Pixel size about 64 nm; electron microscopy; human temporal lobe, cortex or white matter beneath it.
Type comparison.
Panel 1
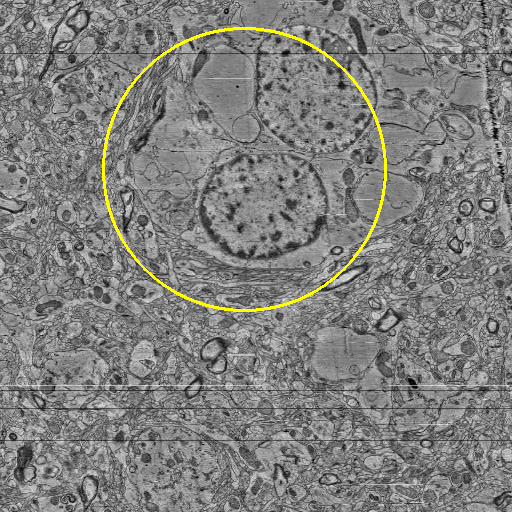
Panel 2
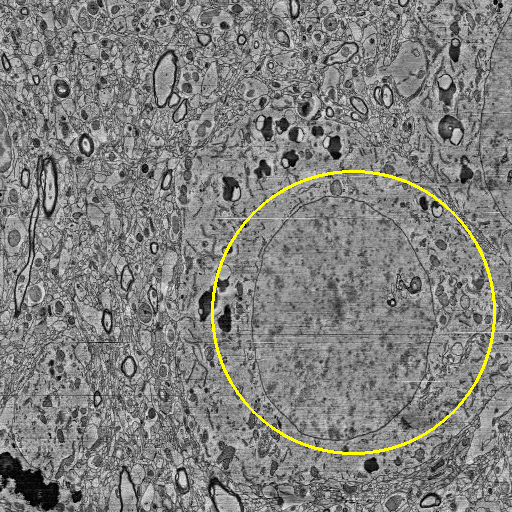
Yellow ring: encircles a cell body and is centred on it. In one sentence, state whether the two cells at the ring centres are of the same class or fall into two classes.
In these panels, the two cells at the ring centres fall into two classes.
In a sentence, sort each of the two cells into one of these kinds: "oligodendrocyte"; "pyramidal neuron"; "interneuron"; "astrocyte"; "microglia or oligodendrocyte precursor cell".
The first of the two cells is an astrocyte, and the second is a pyramidal neuron.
